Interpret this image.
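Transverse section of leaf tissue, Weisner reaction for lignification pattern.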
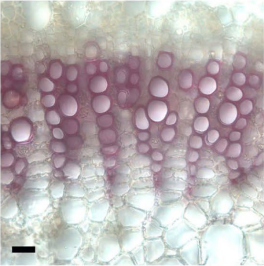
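In this leaf cross-section the primary xylem elements form neat parallel radial files with pink-red walls around empty rounded lumens. Between and around the files lie unstained thin-walled cells, so the lignified rows stand out sharply against a pale background.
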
